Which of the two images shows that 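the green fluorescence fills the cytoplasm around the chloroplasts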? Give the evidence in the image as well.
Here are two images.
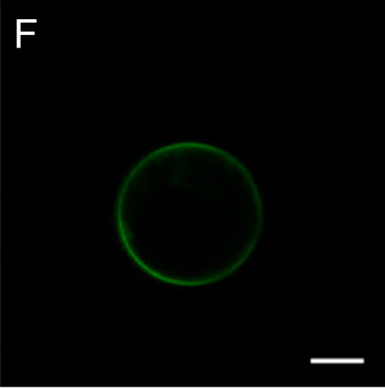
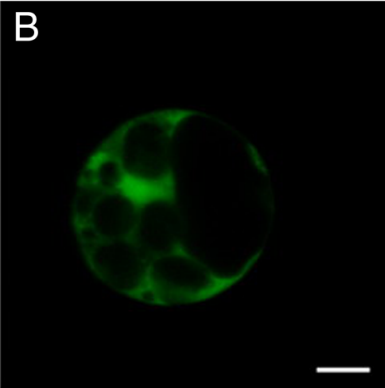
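The second image. First image: green only as a thin ring at the cell edge, interior dark. Second image: green fills the spaces between dark oval shapes and a bright patch inside the cell.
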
